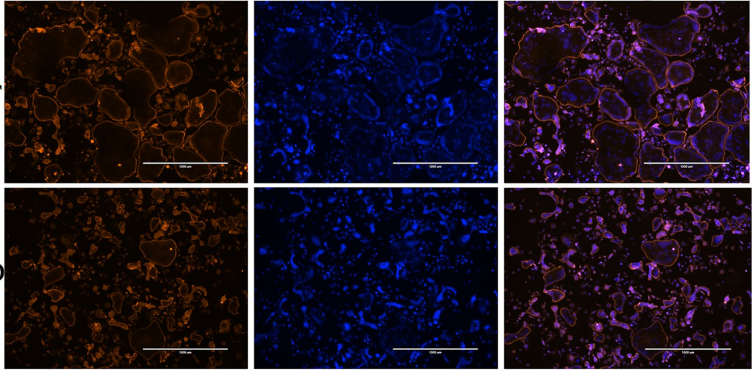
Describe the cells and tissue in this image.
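Smaller bright orange and blue cells are scattered between the large ringed cells. In the lower row the ringed cells are fewer and smaller than in the upper row.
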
